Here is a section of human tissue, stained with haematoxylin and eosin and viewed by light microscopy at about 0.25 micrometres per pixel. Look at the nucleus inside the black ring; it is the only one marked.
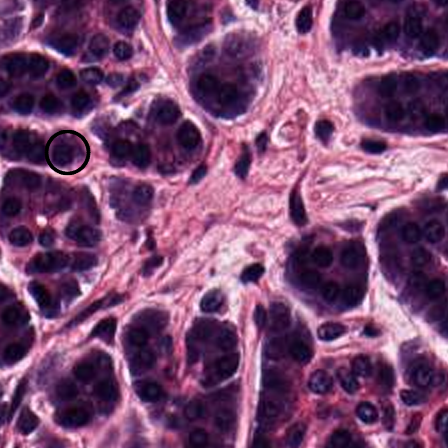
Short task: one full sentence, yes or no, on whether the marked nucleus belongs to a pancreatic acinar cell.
Yes, the marked nucleus forms part of a pancreatic acinar cell.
